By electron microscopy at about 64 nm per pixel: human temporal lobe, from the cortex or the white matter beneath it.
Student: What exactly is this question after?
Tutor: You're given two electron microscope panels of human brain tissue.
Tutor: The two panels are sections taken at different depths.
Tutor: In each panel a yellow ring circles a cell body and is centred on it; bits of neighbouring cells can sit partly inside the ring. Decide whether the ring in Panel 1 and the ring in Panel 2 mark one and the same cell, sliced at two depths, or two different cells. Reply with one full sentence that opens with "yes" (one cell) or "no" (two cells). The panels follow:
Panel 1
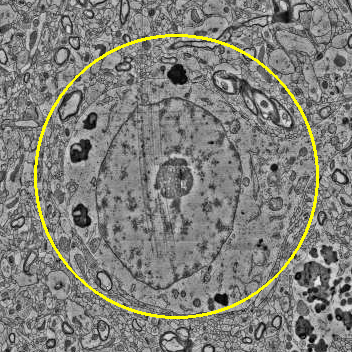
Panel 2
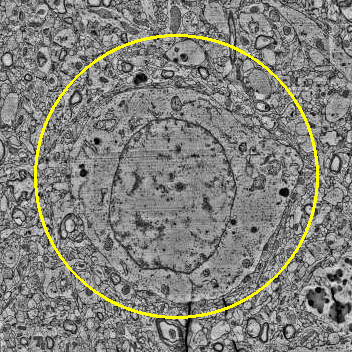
Yes, both yellow rings mark one and the same cell.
